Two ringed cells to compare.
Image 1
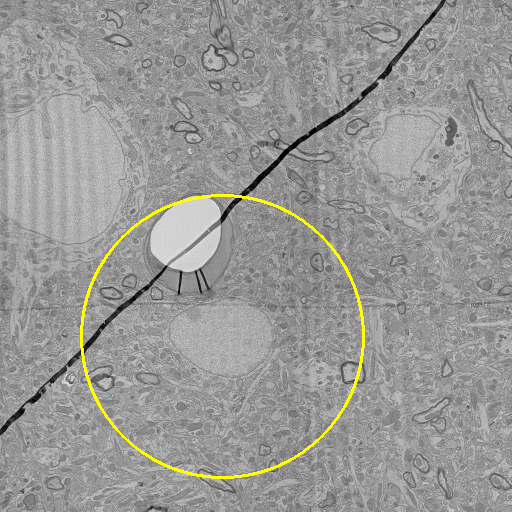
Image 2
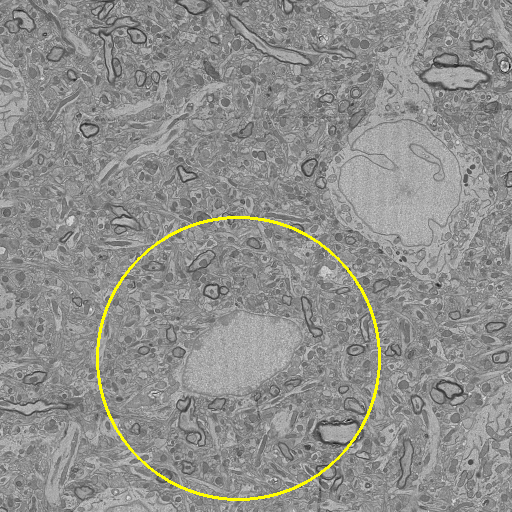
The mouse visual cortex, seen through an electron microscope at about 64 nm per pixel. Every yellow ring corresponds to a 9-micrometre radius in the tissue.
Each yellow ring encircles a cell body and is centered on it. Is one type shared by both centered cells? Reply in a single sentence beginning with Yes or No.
Yes, a single type is shared by the two cells at the centers of the rings.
